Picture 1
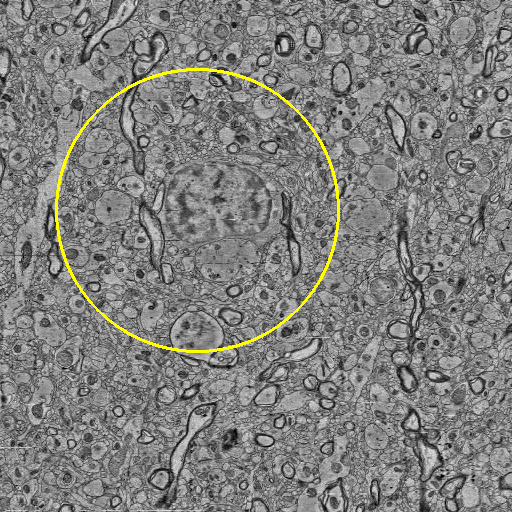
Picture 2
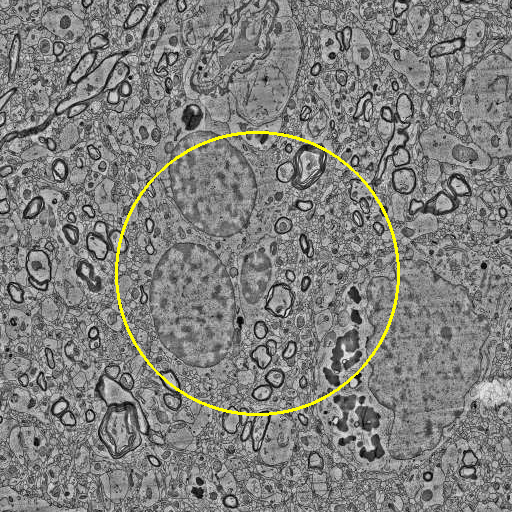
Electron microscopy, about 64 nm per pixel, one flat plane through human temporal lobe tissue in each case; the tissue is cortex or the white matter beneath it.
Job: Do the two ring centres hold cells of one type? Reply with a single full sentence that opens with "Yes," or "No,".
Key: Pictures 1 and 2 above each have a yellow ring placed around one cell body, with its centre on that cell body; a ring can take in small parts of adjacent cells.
Yes, the cells at the two ring centres are of one single type.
